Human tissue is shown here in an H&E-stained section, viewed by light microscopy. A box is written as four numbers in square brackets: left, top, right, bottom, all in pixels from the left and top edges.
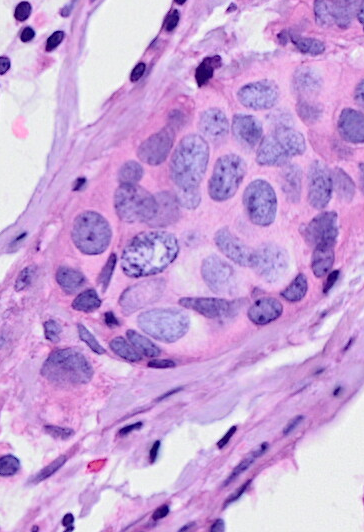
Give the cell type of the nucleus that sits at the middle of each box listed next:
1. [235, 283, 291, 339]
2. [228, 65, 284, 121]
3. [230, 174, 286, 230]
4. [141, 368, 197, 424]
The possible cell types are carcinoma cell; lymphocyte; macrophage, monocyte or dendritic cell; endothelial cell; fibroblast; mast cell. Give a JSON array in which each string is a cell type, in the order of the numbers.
["carcinoma cell", "carcinoma cell", "carcinoma cell", "fibroblast"]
